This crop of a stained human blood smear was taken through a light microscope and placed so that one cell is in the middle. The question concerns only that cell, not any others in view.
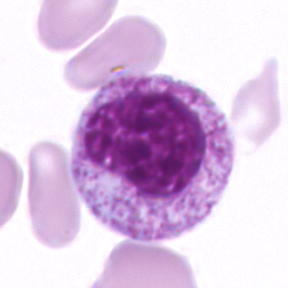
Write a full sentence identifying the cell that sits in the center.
Of the cells in this crop, the central one is a myelocyte.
